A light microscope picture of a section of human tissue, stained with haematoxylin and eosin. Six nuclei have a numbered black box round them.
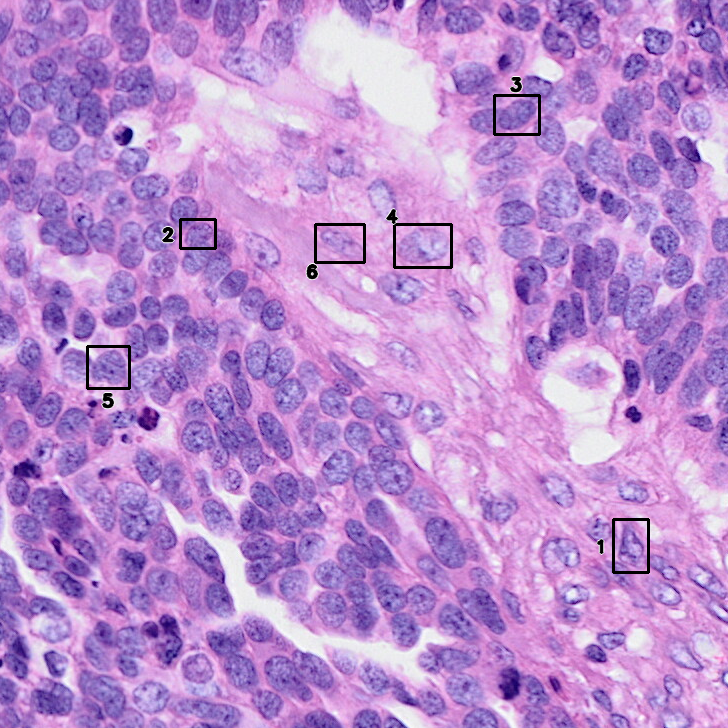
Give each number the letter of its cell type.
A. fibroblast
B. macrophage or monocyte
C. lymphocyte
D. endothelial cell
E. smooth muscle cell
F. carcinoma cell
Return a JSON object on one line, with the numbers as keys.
{"1": "A", "2": "F", "3": "F", "4": "A", "5": "F", "6": "A"}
